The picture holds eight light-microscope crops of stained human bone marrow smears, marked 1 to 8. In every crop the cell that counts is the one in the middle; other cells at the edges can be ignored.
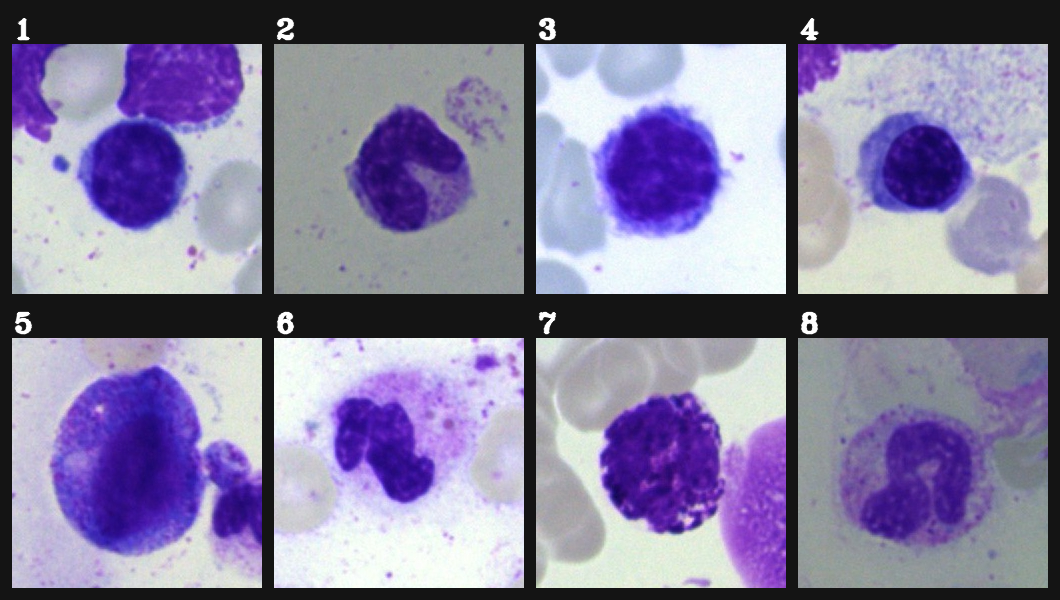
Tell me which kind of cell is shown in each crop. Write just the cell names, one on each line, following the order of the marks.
lymphocyte
band neutrophil
hairy cell
normoblast
promyelocyte
segmented neutrophil
basophil
band neutrophil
